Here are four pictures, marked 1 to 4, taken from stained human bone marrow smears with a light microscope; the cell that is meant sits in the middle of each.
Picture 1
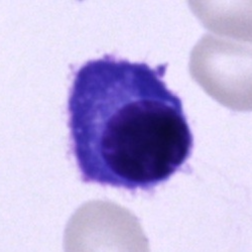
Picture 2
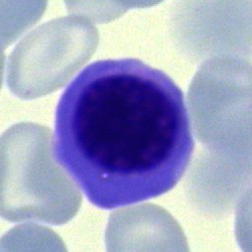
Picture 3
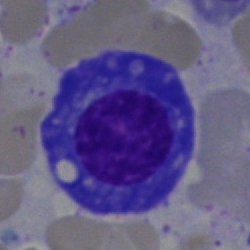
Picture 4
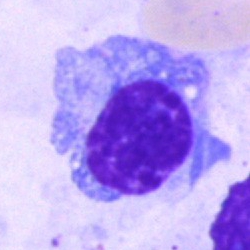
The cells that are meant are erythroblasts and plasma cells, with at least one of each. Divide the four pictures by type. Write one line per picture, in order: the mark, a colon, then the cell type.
1: plasma cell
2: erythroblast
3: plasma cell
4: plasma cell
